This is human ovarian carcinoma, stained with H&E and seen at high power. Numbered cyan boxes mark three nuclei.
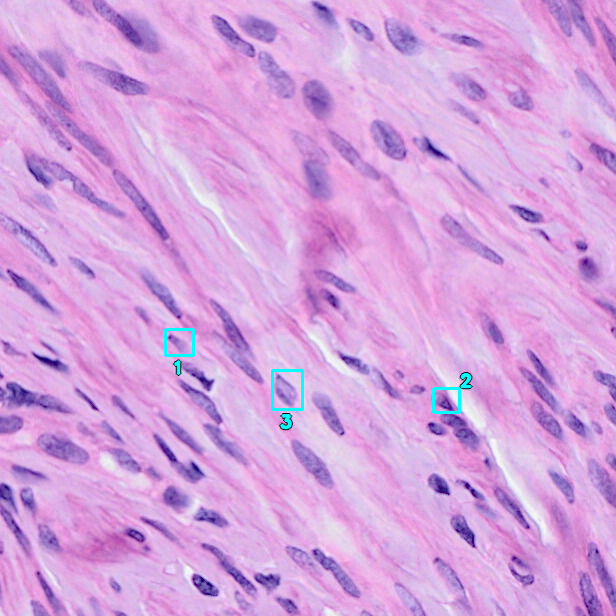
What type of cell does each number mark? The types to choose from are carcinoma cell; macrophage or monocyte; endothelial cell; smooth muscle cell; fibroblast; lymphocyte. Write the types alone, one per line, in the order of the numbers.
smooth muscle cell
smooth muscle cell
fibroblast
